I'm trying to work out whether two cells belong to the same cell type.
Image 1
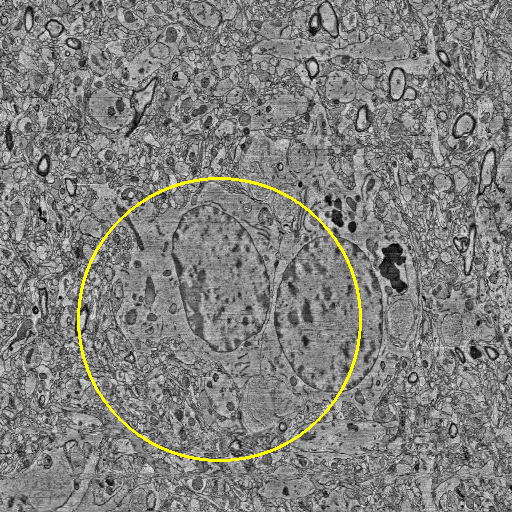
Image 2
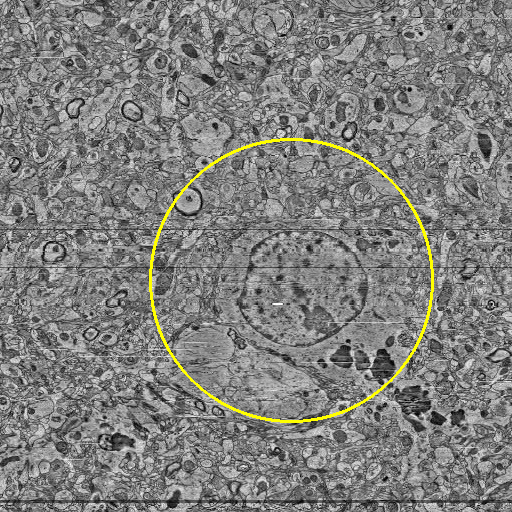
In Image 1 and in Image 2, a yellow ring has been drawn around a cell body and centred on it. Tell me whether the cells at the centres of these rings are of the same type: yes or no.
yes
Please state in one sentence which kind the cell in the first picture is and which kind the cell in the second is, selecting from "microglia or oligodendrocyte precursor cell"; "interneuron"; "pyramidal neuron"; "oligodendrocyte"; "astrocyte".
The cell in the first picture is an astrocyte, and so is the one in the second.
